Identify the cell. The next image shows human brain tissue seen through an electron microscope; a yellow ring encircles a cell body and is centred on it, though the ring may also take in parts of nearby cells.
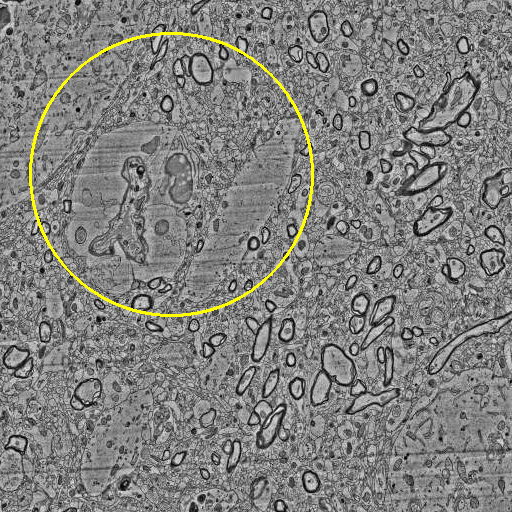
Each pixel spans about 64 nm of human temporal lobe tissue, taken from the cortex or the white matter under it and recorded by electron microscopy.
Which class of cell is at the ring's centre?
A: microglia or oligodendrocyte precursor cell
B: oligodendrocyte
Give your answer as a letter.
A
